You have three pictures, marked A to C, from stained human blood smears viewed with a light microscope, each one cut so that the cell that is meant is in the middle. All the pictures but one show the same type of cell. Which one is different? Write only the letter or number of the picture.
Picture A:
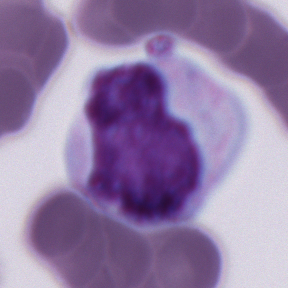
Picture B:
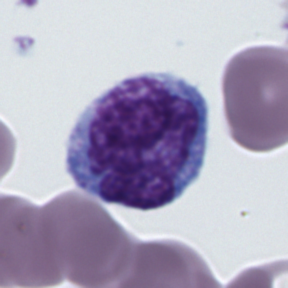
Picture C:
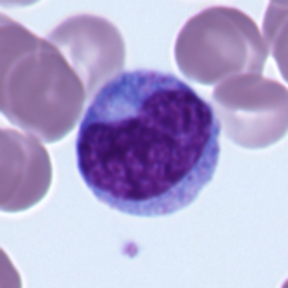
A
